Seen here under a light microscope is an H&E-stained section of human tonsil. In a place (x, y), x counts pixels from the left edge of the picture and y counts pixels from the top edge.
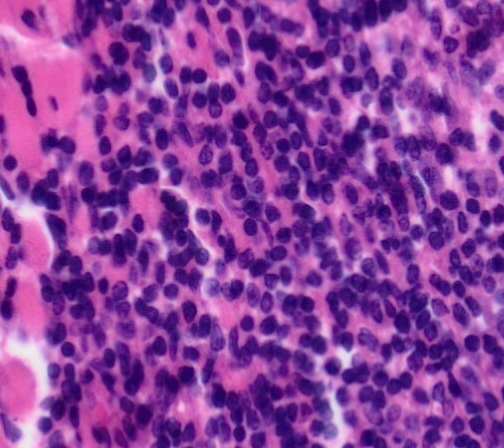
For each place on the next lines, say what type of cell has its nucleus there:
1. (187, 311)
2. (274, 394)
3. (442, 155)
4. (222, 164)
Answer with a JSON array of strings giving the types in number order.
["small lymphocyte", "small lymphocyte", "proliferating B cell", "small lymphocyte"]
